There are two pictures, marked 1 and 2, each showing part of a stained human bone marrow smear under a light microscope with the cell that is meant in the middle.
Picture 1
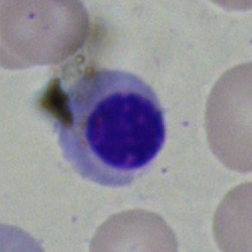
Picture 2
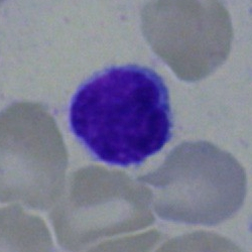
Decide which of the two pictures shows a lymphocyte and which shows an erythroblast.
1: erythroblast
2: lymphocyte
